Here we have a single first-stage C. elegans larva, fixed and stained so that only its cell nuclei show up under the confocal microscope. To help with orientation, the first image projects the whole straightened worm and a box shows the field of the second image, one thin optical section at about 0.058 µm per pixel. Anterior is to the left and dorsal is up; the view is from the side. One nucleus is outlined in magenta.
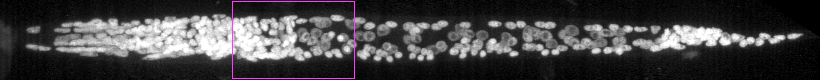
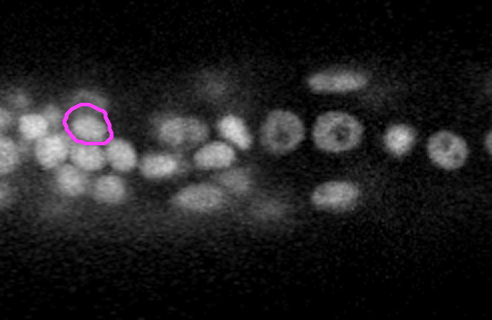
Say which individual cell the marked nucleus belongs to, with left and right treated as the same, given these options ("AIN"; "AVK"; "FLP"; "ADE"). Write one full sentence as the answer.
It belongs to AIN, a neuron.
